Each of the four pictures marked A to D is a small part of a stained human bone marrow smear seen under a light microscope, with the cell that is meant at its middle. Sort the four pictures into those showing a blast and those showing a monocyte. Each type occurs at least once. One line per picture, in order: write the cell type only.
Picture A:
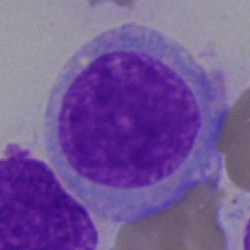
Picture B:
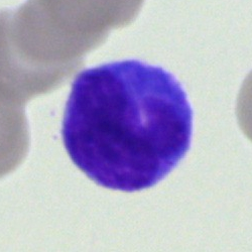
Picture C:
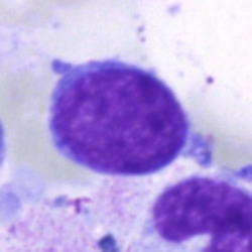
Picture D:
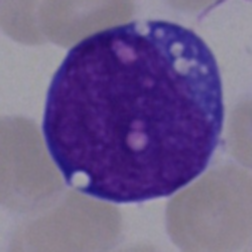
blast
monocyte
blast
blast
